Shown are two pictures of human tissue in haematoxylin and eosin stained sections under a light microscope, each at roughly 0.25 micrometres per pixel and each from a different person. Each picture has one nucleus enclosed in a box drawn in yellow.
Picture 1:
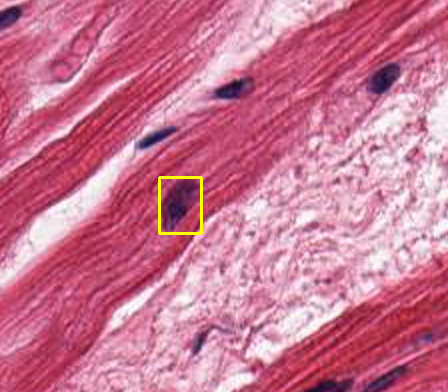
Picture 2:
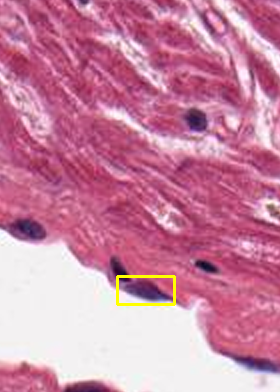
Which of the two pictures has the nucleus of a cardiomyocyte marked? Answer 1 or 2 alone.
1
